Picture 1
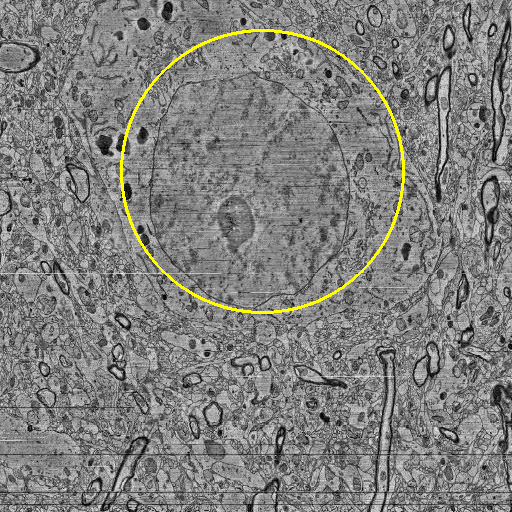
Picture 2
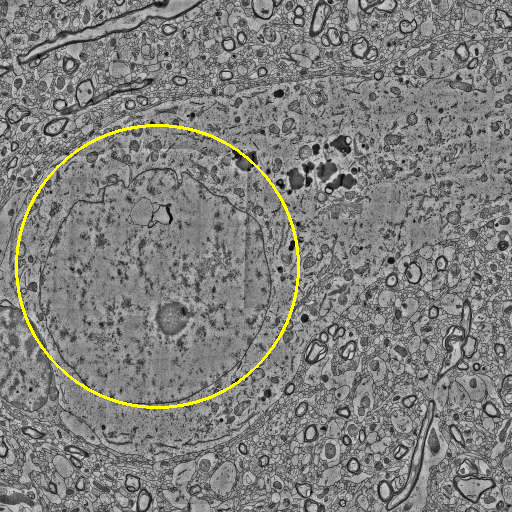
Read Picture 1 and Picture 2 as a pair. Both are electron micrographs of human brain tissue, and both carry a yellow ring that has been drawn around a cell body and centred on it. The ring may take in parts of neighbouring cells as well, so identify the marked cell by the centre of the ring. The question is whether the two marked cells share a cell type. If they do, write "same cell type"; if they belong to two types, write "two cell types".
same cell type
